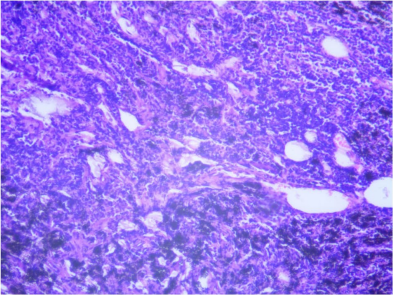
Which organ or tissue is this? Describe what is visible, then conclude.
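The field is packed with small dark round cells. Black pigment is scattered among the cells. Thin-walled vessels and clear spaces cross the tissue. The answer: lymph node.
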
